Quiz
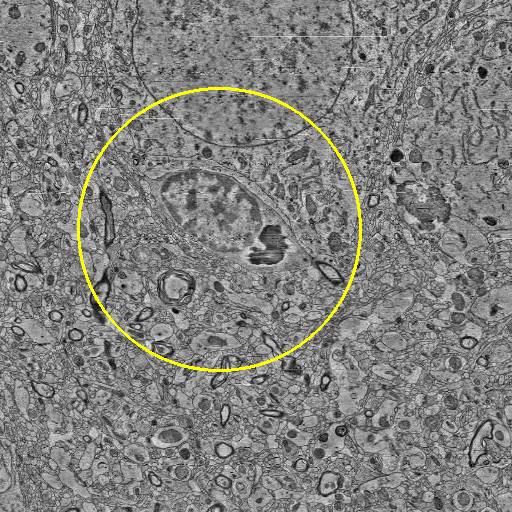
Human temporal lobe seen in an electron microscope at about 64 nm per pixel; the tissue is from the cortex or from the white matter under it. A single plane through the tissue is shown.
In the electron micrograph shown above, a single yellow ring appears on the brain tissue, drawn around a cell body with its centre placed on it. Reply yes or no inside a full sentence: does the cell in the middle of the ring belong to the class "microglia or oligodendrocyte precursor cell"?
No, the cell at the centre of the ring in the picture belongs to a different class.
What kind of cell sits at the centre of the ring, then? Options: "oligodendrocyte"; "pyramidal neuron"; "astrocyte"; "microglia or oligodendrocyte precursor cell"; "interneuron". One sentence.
Instead, the picture shows an oligodendrocyte at the centre of the ring.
